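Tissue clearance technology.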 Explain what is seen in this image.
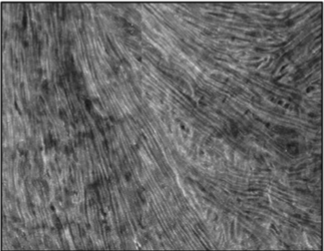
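The threads run closely packed and largely parallel, sweeping in smooth broad curves across the field. No rings or whorls interrupt their course. Darker bands alternate with brighter ones where bundles lie side by side. Small dark dots are scattered sparsely among the fibres.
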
